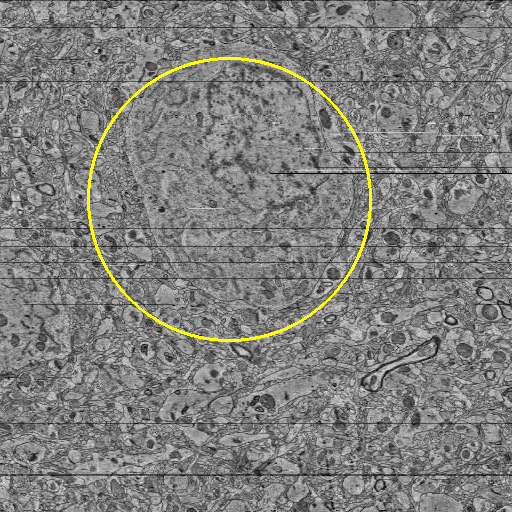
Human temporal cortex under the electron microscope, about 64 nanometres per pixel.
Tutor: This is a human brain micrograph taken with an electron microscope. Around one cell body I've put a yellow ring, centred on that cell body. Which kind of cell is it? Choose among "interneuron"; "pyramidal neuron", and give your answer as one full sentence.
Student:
Going by your list, the cell centred in the yellow ring is an interneuron.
